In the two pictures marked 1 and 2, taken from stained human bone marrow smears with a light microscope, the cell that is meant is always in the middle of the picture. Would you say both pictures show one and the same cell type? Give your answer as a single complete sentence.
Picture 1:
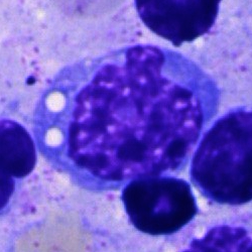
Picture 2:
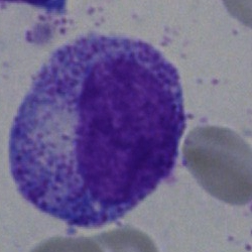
No, picture 1 shows a monocyte and picture 2 shows a myelocyte.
